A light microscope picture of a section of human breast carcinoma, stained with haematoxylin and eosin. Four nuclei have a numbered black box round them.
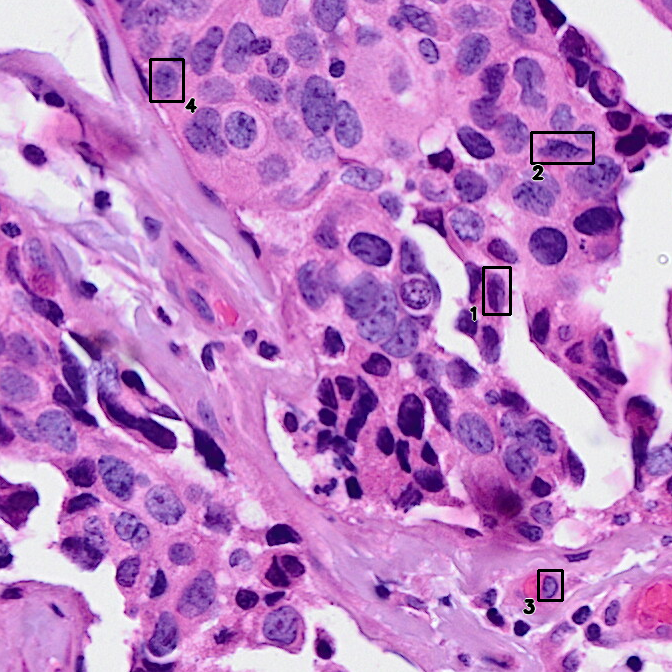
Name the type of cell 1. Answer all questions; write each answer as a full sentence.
The cell indicated with the number 1 is classed as a carcinoma cell.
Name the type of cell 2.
The one labeled 2 is a carcinoma cell, to put it simply.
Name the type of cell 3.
The cell that goes by number 3 is an endothelial cell.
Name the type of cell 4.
Belonging to a carcinoma cell is the nucleus that carries the number 4.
